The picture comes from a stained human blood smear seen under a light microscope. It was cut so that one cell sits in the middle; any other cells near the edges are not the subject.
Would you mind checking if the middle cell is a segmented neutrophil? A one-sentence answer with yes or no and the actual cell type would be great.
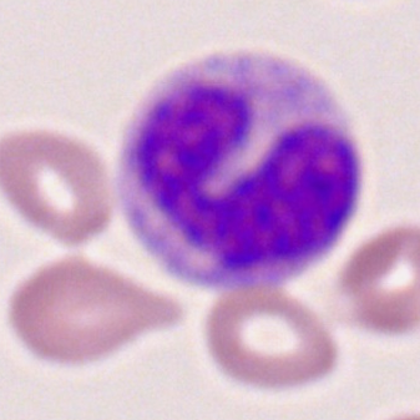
No, the central cell is designated a band neutrophil and not a segmented neutrophil.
